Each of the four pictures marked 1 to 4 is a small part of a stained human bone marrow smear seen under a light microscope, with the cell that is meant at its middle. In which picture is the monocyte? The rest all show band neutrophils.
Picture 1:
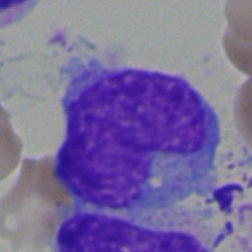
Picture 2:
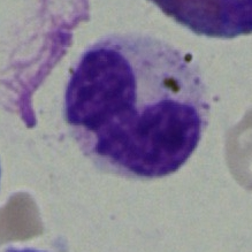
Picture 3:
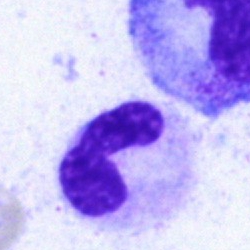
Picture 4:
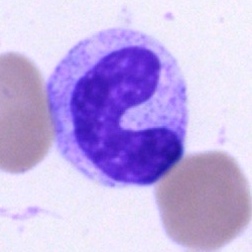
1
